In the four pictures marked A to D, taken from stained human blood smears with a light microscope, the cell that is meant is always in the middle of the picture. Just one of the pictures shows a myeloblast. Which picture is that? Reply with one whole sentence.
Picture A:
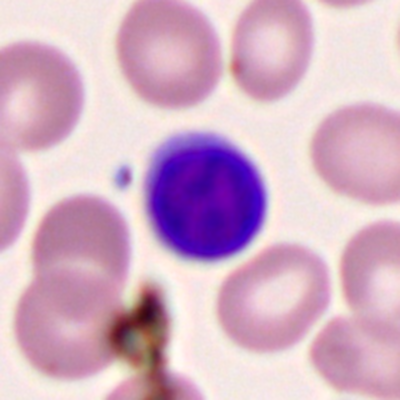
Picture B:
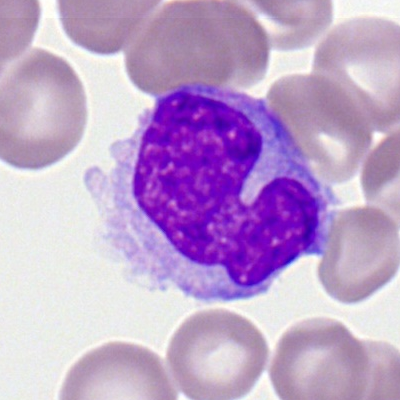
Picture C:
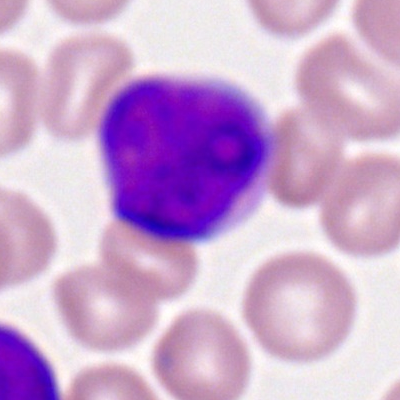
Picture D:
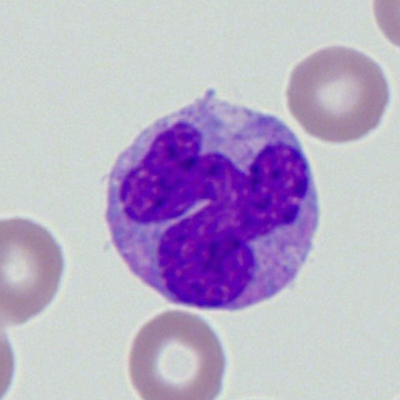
The myeloblast is the one in picture C.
